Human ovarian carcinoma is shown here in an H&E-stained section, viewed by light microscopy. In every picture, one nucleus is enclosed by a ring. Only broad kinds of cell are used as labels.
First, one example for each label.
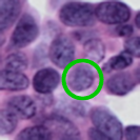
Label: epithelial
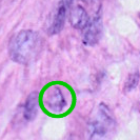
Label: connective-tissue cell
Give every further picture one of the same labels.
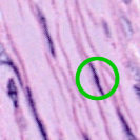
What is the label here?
connective-tissue cell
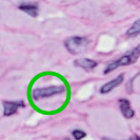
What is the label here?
connective-tissue cell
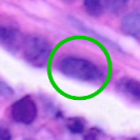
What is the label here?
epithelial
